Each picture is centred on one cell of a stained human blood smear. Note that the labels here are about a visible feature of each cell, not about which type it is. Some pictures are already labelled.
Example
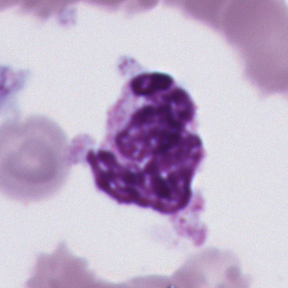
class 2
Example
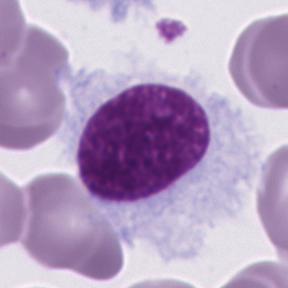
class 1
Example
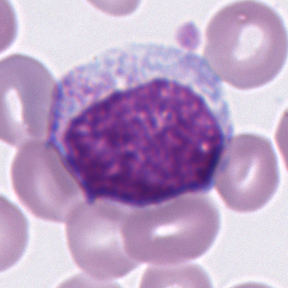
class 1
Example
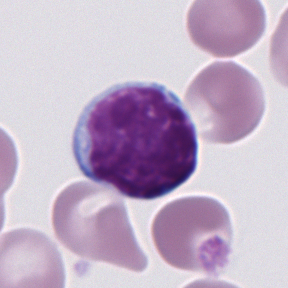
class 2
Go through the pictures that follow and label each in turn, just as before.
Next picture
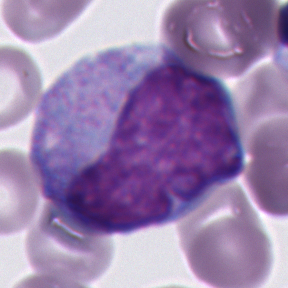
class 1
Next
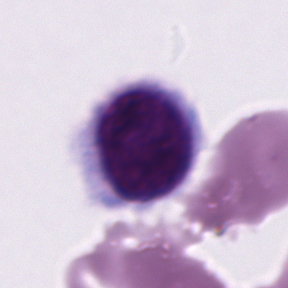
class 2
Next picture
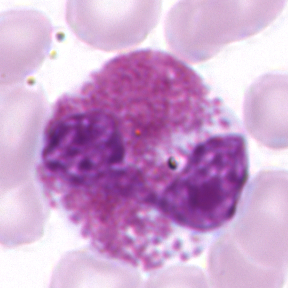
class 1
